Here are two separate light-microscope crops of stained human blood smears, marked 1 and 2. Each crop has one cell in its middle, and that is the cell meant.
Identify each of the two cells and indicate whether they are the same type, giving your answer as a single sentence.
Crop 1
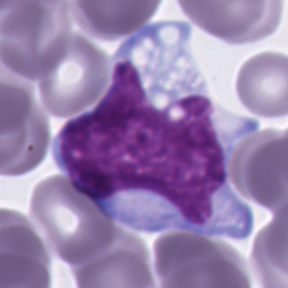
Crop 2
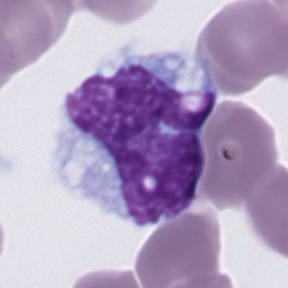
Yes, both crops in this set show monocytes.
